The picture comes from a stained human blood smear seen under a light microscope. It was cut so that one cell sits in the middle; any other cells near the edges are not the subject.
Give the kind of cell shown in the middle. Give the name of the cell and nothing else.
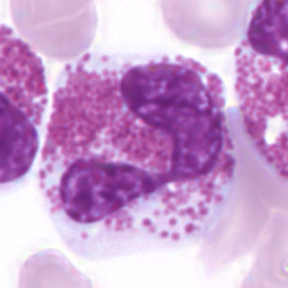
eosinophil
